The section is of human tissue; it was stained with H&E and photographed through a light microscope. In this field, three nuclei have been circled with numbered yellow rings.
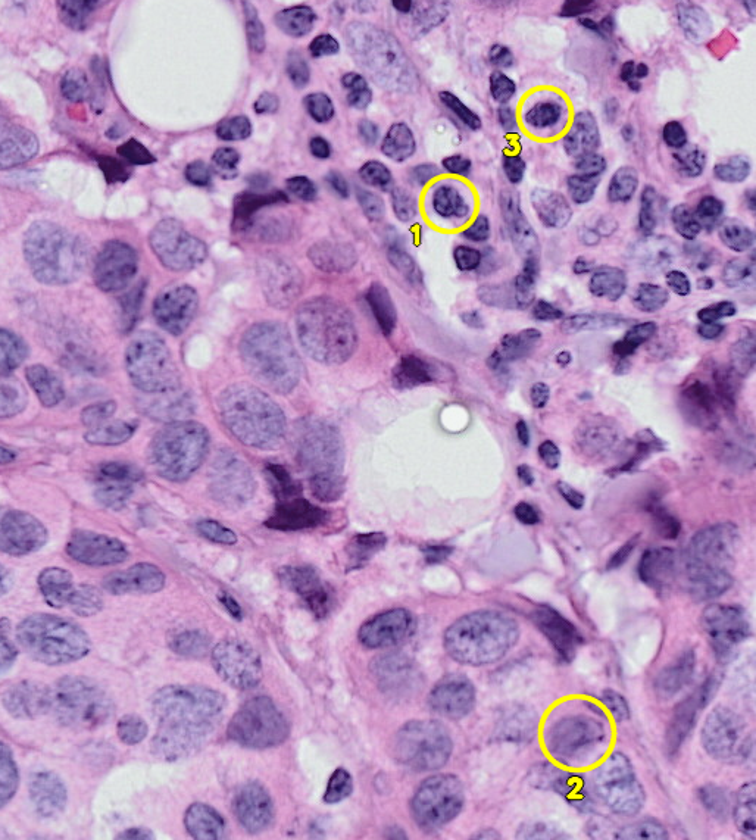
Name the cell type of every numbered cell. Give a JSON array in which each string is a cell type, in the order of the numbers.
["lymphocyte", "carcinoma cell", "lymphocyte"]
